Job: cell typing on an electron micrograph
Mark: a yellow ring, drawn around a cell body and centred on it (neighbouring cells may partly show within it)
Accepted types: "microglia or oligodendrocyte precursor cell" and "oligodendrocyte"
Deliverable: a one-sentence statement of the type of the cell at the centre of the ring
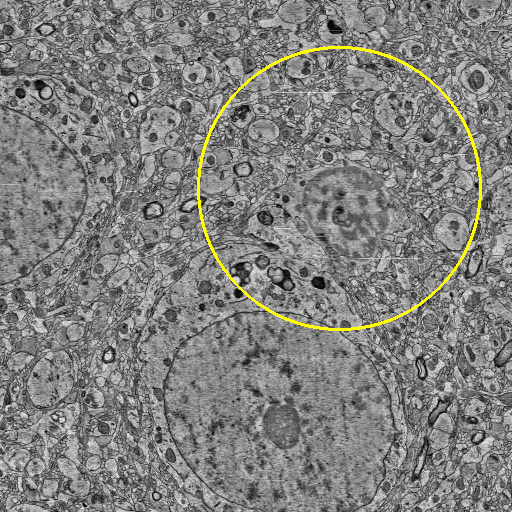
The centred cell body is that of an oligodendrocyte.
